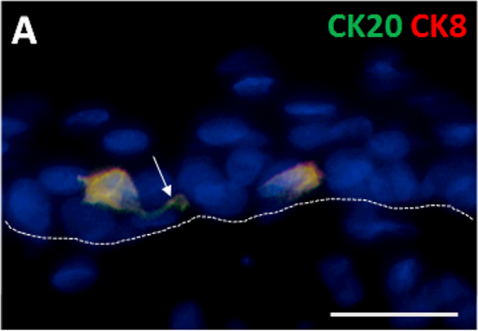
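Blue oval nuclei of keratinocytes crowd the field above the dashed junction with the dermis. Two Merkel cells stand out singly, their cytoplasm yellow-orange where green and red overlap. Both lie close to the base of the epidermis. The left cell is not oval: from its body a thin green process extends sideways and downward toward the junction. The right cell is smaller and more compact. The surrounding keratinocytes show no colour besides their blue nuclei.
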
